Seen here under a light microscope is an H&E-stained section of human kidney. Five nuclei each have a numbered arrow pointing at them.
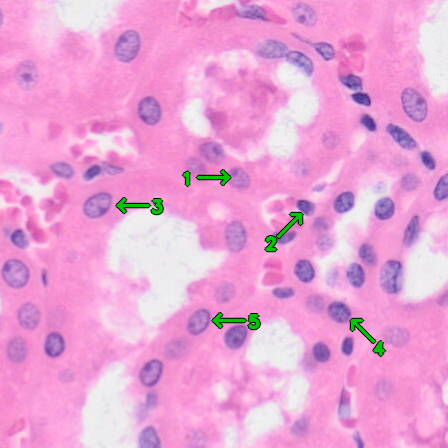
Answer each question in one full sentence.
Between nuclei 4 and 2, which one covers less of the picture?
Nucleus 2 is the smaller one; nucleus 4 covers about 2 times its area.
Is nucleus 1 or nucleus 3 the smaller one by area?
It is nucleus 1; nucleus 3 has about 1.5 times its area.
